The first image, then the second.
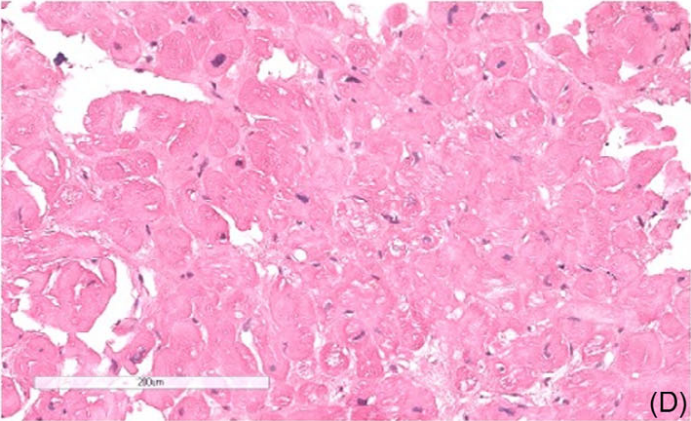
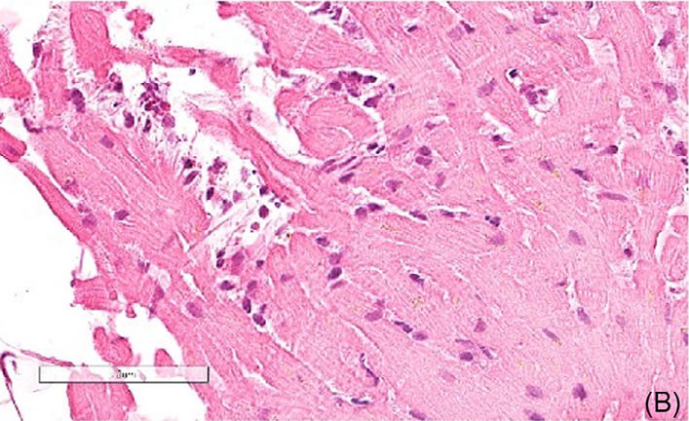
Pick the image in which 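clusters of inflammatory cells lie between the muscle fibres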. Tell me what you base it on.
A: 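First image: muscle fibres lie packed with only scattered single nuclei, no clusters of inflammatory cells. Second image: a dense cluster of small dark-nucleated cells sits between the muscle fibres. On this evidence: the second image.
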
